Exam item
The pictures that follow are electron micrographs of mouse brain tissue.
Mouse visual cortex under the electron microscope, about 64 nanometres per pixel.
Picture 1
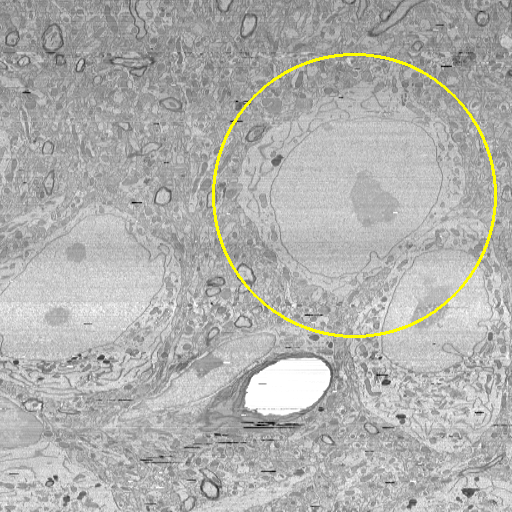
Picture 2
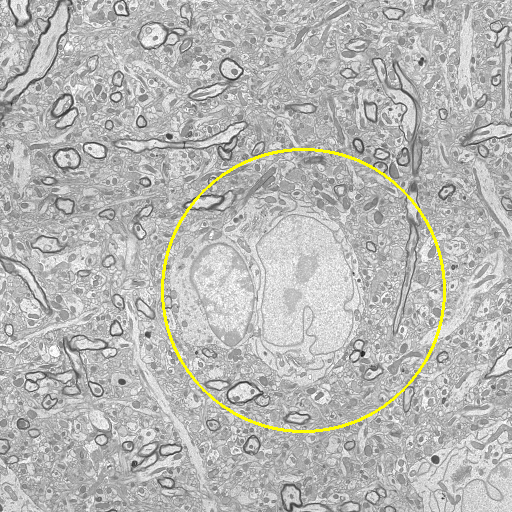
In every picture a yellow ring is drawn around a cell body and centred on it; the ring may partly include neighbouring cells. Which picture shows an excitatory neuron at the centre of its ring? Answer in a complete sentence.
The cell at the centre of the ring in Picture 1 is the one asked for.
